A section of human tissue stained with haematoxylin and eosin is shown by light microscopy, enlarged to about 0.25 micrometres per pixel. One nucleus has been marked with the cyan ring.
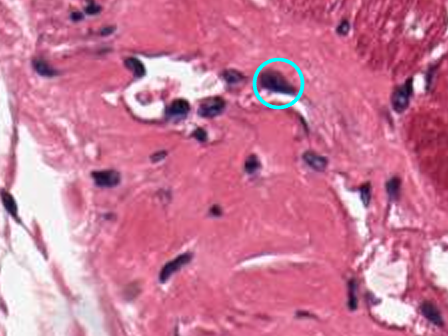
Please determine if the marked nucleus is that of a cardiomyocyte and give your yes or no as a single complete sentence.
No, not a cardiomyocyte but a supporting cell is the owner of the marked nucleus.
